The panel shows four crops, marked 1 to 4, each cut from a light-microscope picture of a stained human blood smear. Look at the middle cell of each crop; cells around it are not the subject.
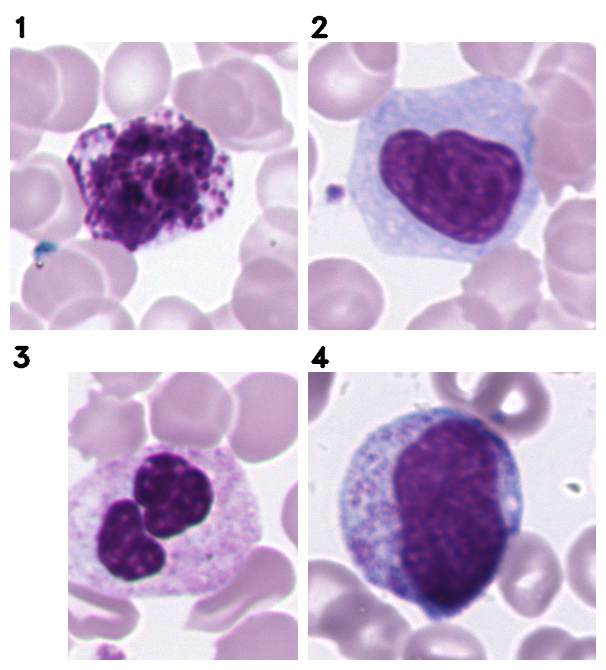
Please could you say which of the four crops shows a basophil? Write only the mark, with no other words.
1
